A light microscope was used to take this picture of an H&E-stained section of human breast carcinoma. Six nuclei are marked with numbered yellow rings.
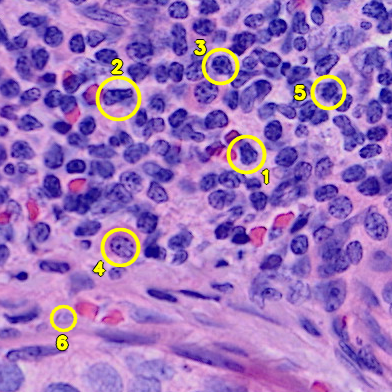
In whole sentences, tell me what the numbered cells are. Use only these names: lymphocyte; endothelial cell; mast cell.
Cell 1 is a lymphocyte, cell 2 is a lymphocyte, cell 3 is a lymphocyte, cell 4 is a mast cell, cell 5 is a lymphocyte and cell 6 is an endothelial cell.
